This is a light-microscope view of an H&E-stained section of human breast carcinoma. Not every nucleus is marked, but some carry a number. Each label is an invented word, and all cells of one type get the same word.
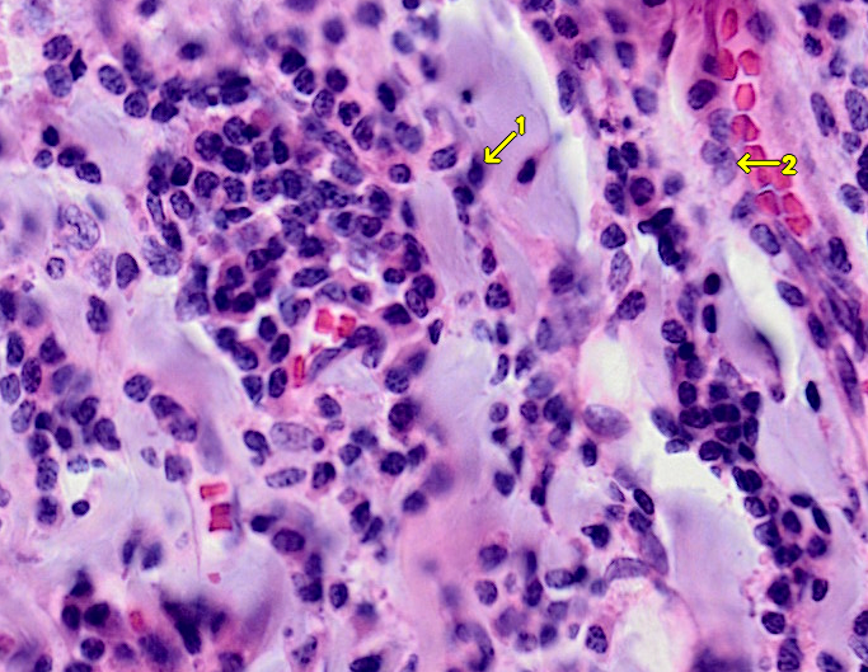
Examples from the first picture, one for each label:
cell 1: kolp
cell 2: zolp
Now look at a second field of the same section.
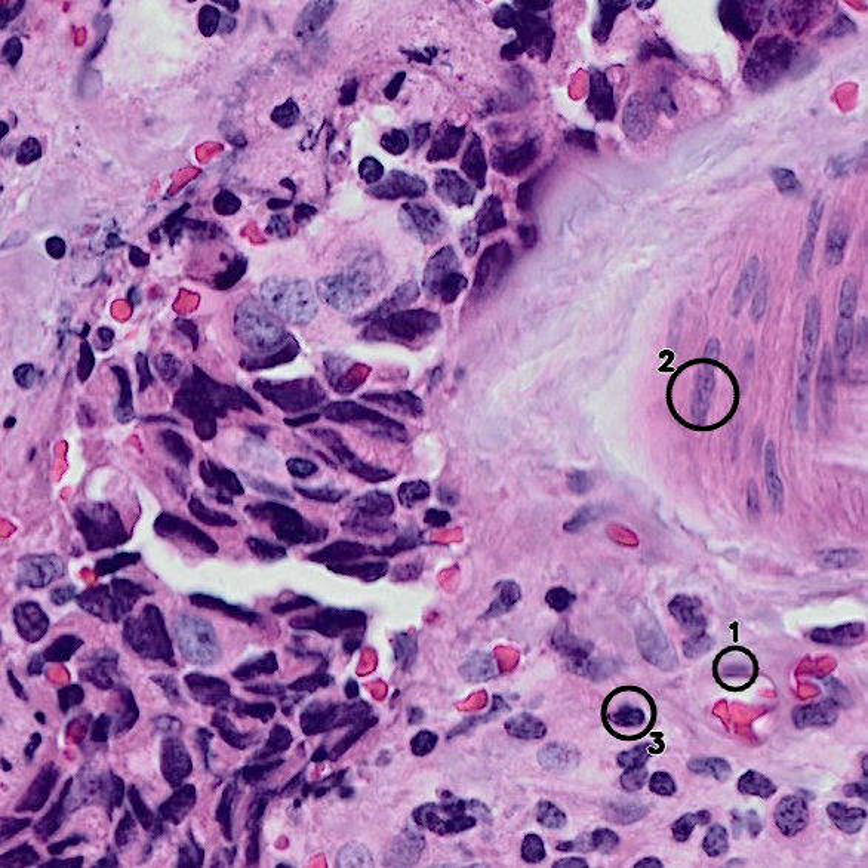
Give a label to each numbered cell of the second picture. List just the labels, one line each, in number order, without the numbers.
zolp
zolp
kolp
